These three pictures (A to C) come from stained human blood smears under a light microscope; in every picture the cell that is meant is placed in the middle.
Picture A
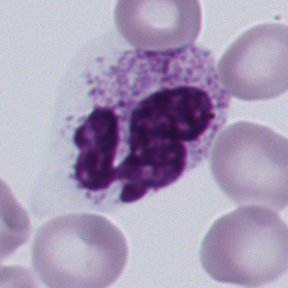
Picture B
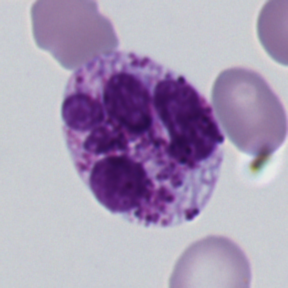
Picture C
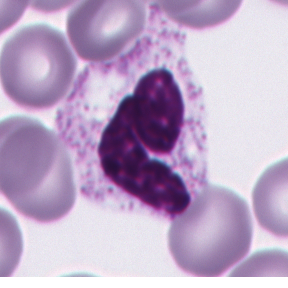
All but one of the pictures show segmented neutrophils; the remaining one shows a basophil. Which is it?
B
